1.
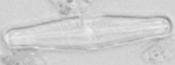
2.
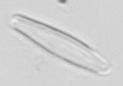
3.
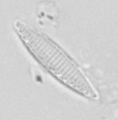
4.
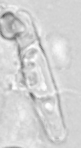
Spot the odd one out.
Picture 3 (Nitzschia among Achnanthidium).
